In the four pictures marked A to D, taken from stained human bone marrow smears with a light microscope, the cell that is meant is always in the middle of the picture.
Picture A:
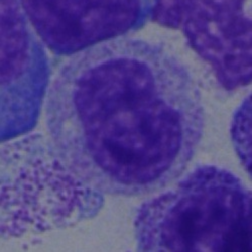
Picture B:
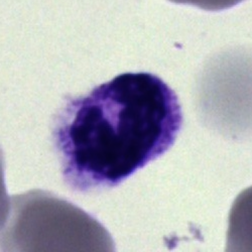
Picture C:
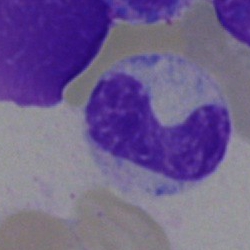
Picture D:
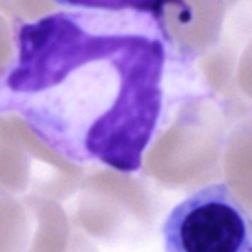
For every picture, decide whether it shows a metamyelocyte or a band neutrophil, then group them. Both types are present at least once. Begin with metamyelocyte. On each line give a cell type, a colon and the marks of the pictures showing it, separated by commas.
metamyelocyte: A
band neutrophil: B, C, D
